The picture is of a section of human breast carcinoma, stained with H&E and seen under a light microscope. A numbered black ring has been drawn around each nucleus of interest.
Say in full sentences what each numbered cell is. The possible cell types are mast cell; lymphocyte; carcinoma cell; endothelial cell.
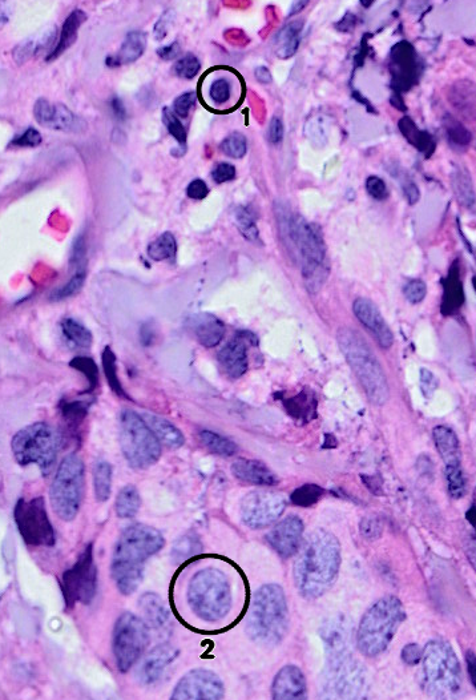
Cell 1 is a lymphocyte and cell 2 is a carcinoma cell.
